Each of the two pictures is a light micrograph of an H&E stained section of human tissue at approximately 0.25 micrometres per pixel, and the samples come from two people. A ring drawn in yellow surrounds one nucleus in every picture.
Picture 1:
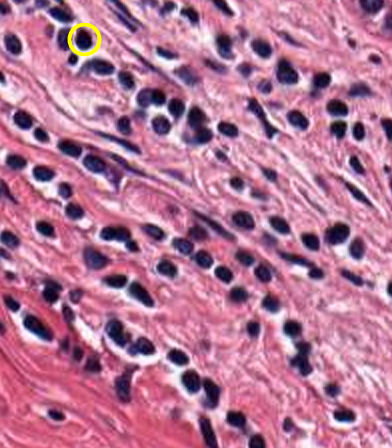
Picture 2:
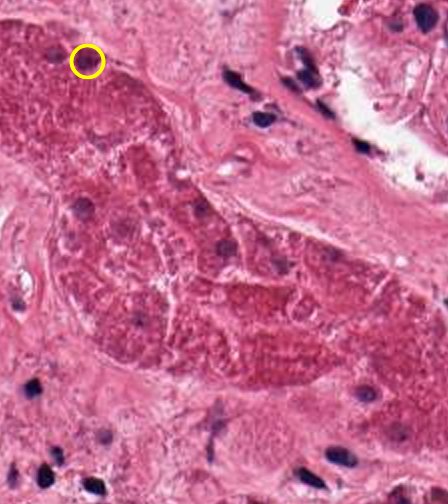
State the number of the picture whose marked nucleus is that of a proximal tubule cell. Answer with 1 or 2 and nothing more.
2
